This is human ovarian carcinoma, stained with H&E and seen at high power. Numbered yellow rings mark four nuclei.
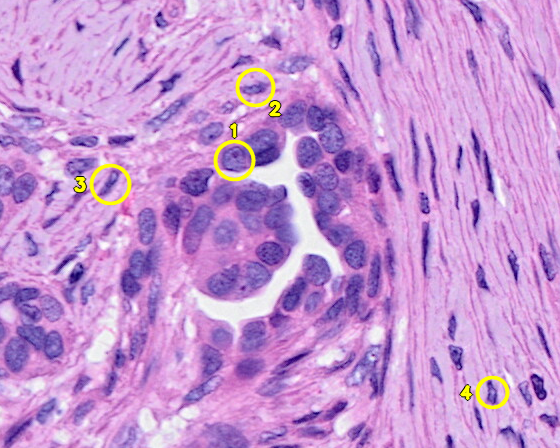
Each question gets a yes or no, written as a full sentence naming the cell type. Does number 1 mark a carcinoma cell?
Yes, of the numbered cells, number 1 is a carcinoma cell.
